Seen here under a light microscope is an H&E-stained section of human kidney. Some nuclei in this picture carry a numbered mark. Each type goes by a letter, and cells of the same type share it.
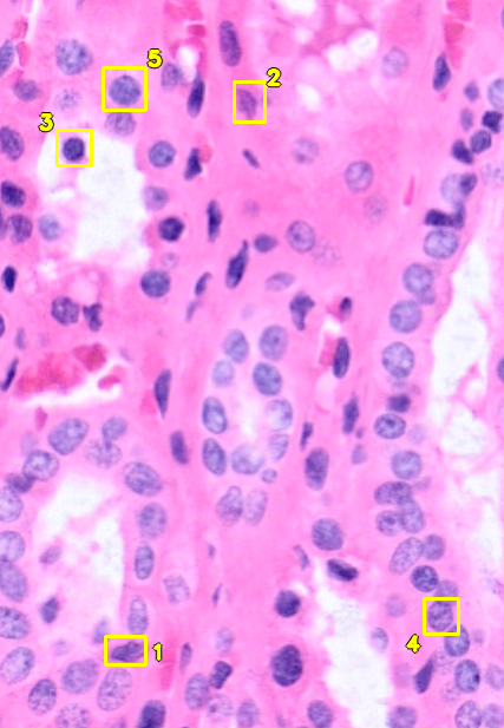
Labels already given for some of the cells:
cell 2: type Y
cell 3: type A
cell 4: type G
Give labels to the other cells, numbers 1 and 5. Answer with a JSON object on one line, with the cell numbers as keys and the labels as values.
{"1": "type G", "5": "type A"}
